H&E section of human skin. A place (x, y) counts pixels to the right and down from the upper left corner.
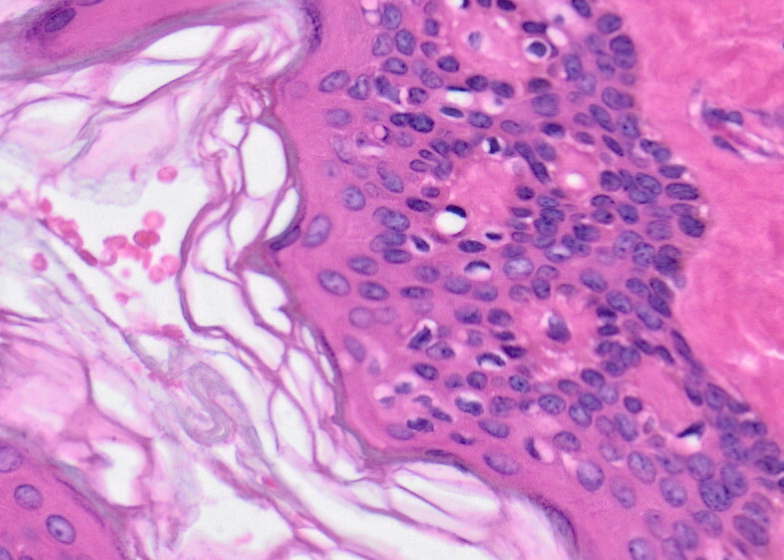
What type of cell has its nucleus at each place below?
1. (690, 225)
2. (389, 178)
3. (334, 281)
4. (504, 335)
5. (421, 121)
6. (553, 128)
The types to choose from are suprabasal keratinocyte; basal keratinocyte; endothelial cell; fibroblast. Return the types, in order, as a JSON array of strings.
["basal keratinocyte", "suprabasal keratinocyte", "suprabasal keratinocyte", "basal keratinocyte", "basal keratinocyte", "basal keratinocyte"]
